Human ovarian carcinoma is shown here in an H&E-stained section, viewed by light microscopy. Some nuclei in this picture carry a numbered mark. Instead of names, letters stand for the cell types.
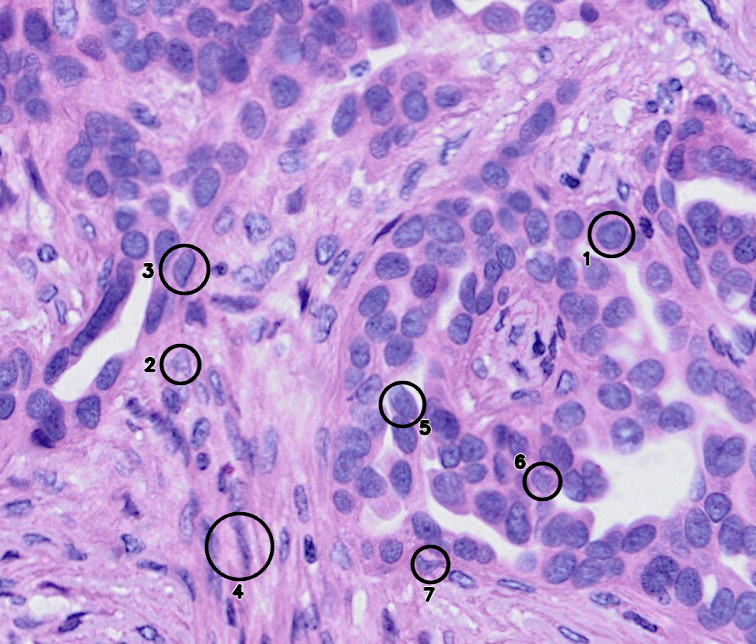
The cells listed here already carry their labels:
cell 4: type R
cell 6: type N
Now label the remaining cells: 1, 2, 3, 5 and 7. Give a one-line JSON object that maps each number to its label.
{"1": "type N", "2": "type R", "3": "type N", "5": "type N", "7": "type R"}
